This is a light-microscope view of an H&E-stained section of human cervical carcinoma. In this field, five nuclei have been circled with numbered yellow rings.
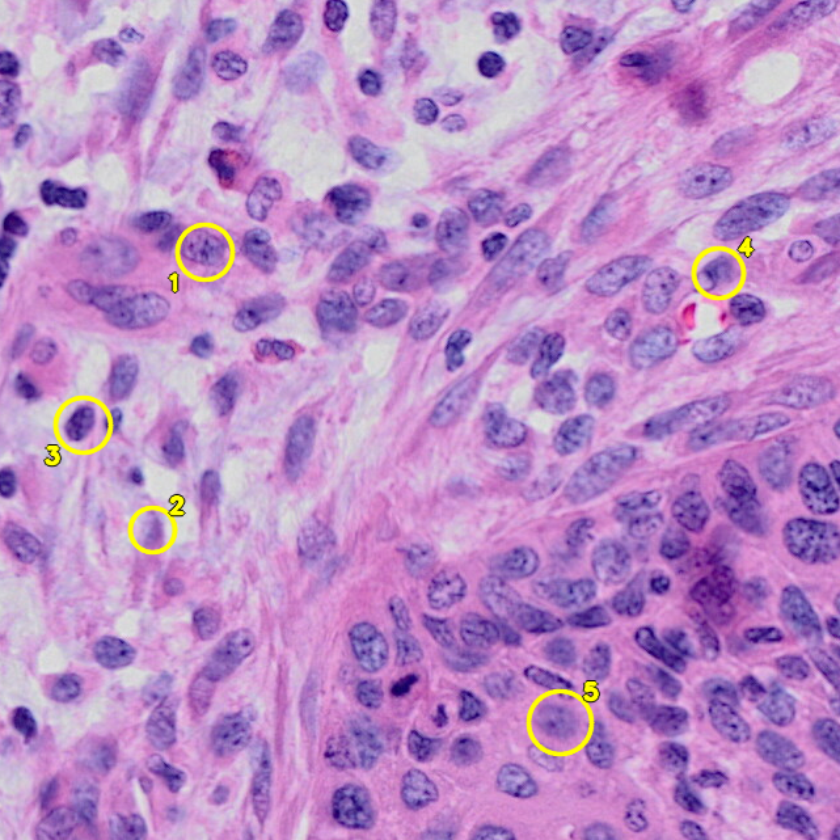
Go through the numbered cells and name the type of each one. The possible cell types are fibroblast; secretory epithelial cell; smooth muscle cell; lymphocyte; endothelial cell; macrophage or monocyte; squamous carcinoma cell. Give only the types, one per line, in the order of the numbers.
endothelial cell
fibroblast
lymphocyte
endothelial cell
squamous carcinoma cell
